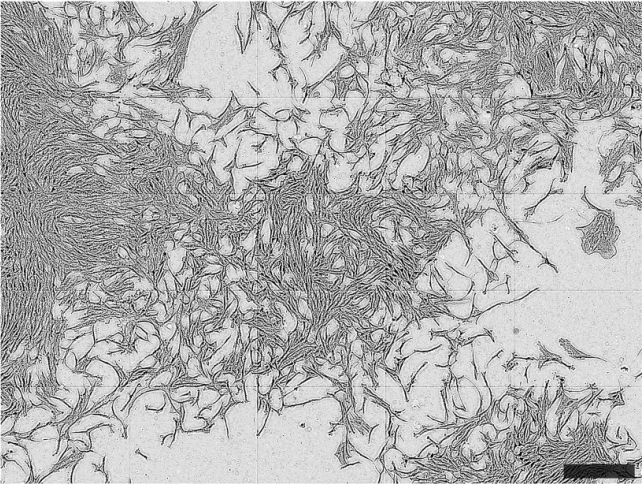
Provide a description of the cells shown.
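This low-magnification phase contrast image shows a colony of cells growing on a flat substrate. The cells are elongated and spindle-shaped, with thin tapering ends, and appear as dark outlines against a pale background. In several regions they are densely packed and lie roughly parallel in aligned streams. Toward the edges and in scattered gaps, the cells are sparse and separated, leaving patches of bare substrate.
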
